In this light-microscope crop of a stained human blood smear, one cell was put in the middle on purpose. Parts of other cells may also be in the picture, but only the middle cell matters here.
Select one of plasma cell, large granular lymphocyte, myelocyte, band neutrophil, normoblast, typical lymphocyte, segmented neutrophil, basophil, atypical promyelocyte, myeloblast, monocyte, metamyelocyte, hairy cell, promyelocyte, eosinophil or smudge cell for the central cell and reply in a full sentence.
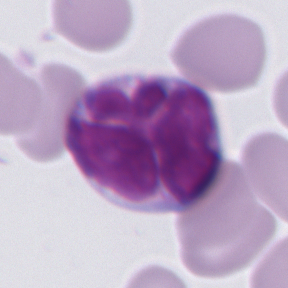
The target cell in the middle of the crop is a large granular lymphocyte.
